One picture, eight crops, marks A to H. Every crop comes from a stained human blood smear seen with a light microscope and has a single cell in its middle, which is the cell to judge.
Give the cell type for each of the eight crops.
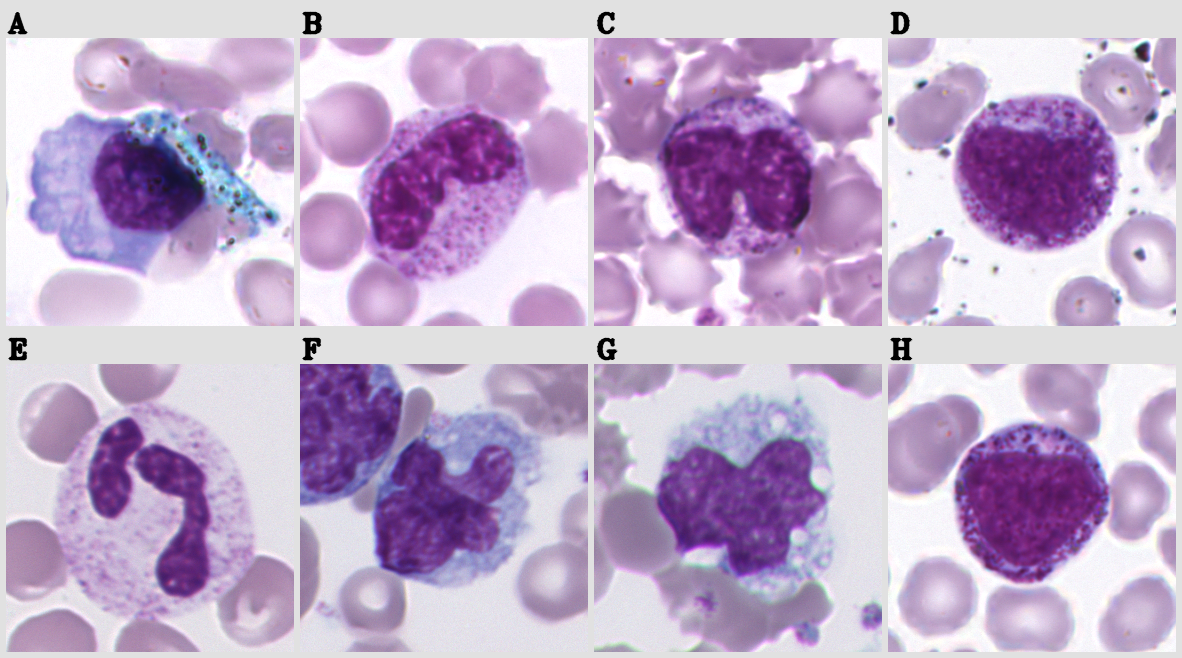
A: plasma cell
B: band neutrophil
C: band neutrophil
D: promyelocyte
E: segmented neutrophil
F: monocyte
G: monocyte
H: myelocyte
